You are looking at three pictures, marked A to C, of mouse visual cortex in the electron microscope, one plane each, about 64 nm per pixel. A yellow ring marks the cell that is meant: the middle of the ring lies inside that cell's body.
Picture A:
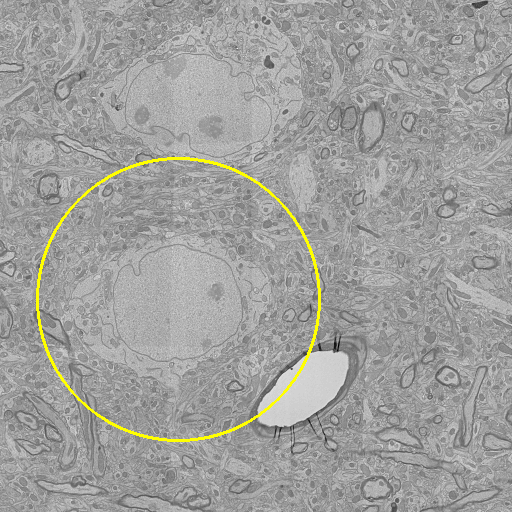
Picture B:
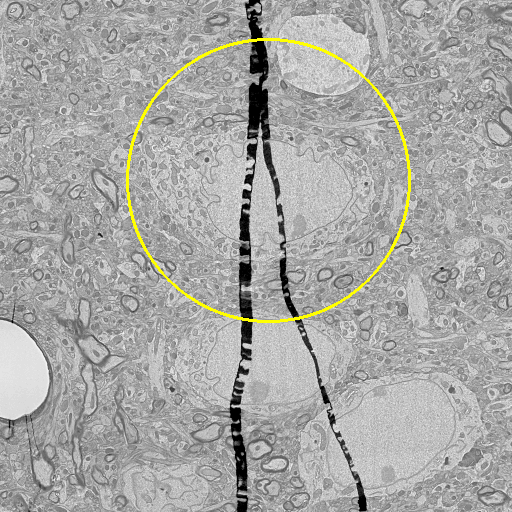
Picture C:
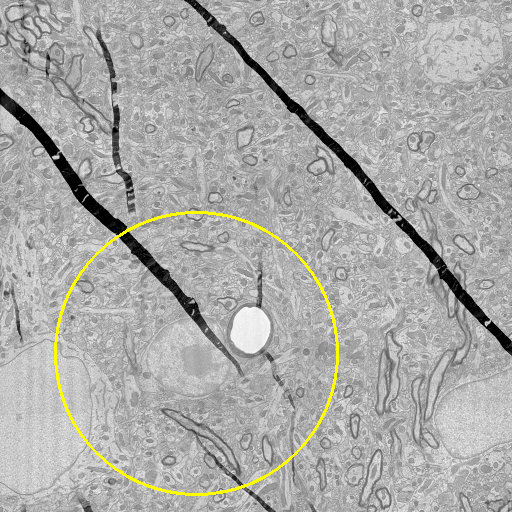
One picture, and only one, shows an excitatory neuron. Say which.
Picture A shows the excitatory neuron.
